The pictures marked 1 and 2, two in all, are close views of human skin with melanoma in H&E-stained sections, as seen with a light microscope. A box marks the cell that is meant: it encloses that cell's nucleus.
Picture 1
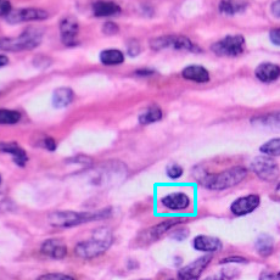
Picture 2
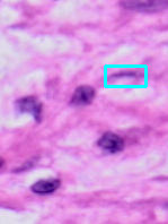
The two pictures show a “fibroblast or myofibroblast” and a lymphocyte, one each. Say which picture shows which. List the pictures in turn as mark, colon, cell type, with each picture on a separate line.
1: lymphocyte
2: fibroblast or myofibroblast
